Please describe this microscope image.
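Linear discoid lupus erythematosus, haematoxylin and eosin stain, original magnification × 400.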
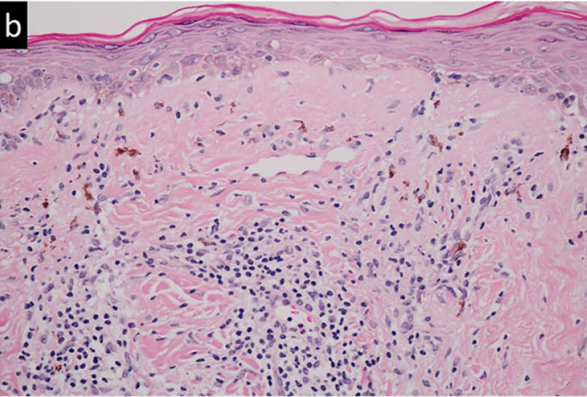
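This is skin with a thin epidermis overlying a dermis containing inflammatory cells and pigment-laden cells. The epidermis is only a few cell layers thick, with a flat lower border and a pink layer of compact keratin on top. The basal cells at the junction with the dermis appear pale and vacuolated, and the junction is indistinct. In the upper dermis, scattered cells hold coarse brown granular pigment. Small dark round nuclei of lymphocytes gather densely in the lower part of the field, and a dilated thin-walled vessel lies in the pink collagen of the upper dermis.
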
